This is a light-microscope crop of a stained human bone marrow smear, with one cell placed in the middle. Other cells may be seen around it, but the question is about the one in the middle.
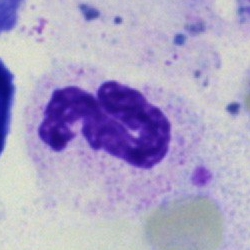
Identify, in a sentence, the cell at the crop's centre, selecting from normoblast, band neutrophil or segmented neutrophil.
By classification, the middle cell of this crop is a segmented neutrophil.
